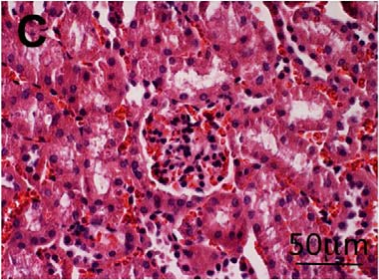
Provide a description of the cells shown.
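This is kidney cortex with a single glomerulus in the centre, a round tuft crowded with dark purple nuclei and small red blood cells in its capillary loops. A narrow clear space and a thin capsule separate the tuft from the surrounding tubules, whose cells have pink cytoplasm and round purple nuclei.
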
